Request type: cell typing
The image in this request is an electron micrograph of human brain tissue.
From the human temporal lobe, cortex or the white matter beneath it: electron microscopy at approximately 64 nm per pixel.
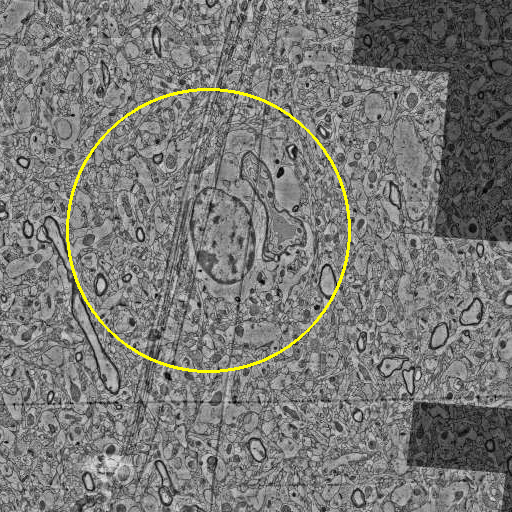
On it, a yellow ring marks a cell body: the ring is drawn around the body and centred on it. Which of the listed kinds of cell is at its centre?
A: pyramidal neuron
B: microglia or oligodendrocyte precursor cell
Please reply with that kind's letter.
B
